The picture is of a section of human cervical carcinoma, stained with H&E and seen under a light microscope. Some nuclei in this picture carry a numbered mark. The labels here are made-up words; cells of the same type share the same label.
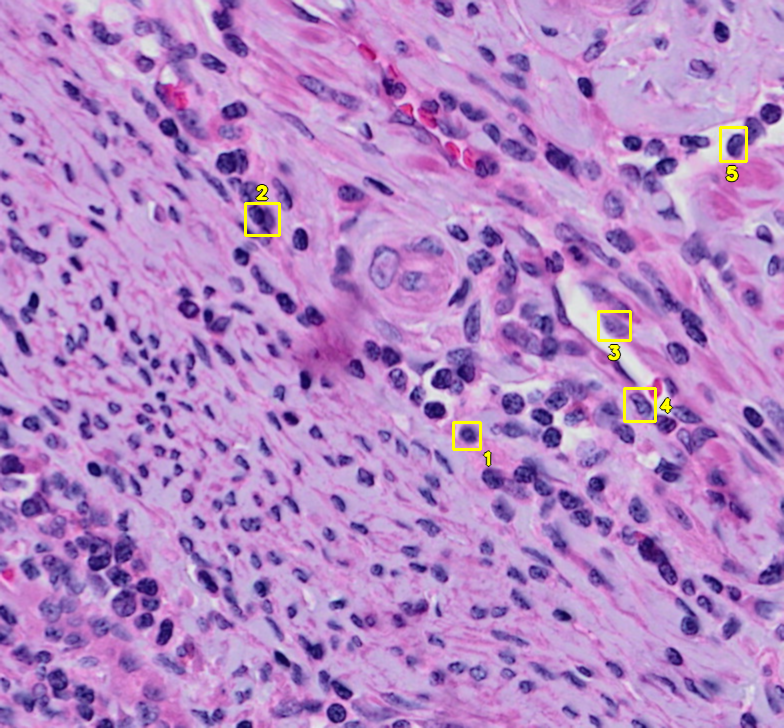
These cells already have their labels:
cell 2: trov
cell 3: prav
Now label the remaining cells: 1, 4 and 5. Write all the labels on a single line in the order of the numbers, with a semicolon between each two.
trov; prav; trov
